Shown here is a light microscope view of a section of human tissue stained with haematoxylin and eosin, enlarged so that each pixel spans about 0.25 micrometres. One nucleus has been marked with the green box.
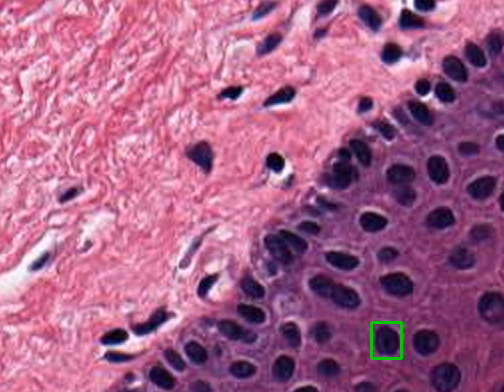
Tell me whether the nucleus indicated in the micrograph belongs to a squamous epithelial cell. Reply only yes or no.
yes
